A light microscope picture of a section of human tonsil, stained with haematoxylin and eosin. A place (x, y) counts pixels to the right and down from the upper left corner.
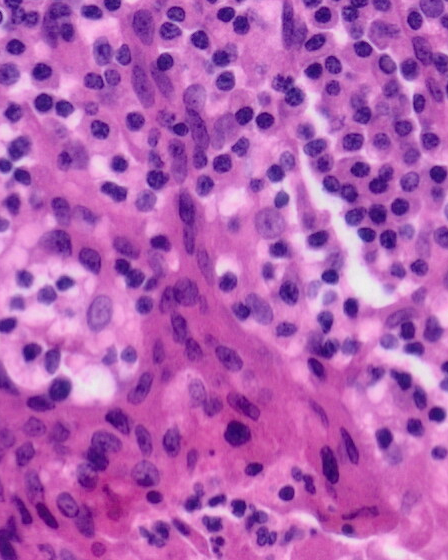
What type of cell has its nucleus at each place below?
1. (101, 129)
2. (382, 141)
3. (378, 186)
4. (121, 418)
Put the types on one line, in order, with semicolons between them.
plasma cell; plasma cell; plasma cell; squamous epithelial cell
